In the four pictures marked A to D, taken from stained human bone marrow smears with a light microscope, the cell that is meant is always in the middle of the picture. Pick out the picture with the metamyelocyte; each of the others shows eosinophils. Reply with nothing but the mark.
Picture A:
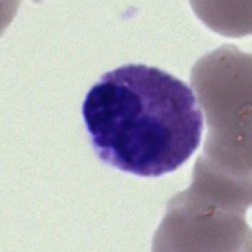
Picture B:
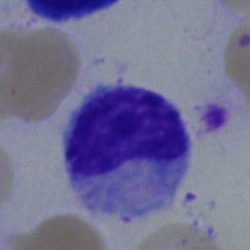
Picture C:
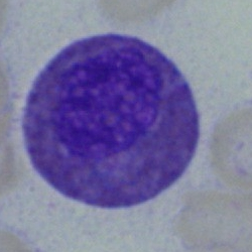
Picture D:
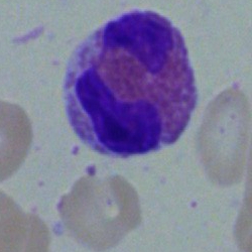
B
